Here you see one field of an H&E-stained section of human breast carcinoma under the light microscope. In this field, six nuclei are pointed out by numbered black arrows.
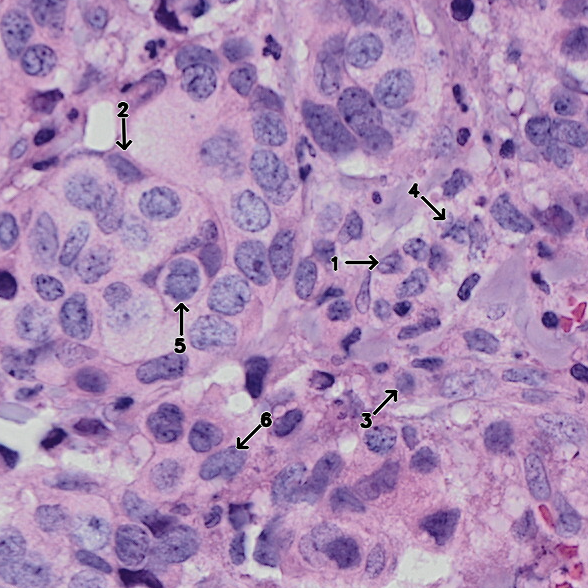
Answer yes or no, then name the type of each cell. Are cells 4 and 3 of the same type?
Yes, as for cells 4 and 3, both are macrophages, monocytes or dendritic cells.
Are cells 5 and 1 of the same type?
No, cell 5 is to be identified as a carcinoma cell and cell 1 as a macrophage, monocyte or dendritic cell.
